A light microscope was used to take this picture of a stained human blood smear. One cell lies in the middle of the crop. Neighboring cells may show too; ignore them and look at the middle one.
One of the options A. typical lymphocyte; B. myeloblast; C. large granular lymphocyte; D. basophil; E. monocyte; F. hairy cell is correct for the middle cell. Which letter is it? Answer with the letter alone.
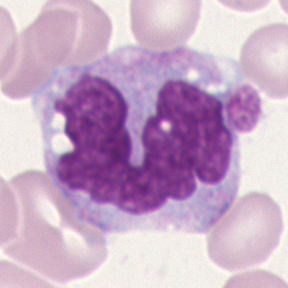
E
